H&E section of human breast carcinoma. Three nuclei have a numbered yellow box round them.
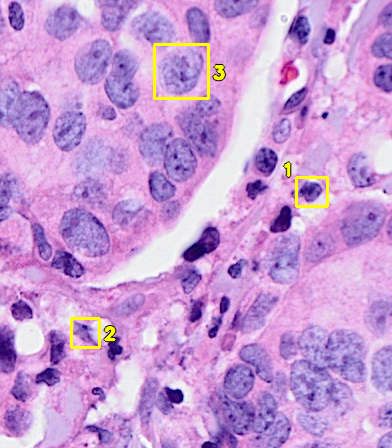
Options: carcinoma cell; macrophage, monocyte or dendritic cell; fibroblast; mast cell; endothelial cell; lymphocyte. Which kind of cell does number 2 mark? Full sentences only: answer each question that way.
The cell given label 2 is a macrophage, monocyte or dendritic cell.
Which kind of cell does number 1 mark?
Numbered cell 1 is a lymphocyte in this tissue section.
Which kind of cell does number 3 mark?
Here the cell numbered 3 is a carcinoma cell.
